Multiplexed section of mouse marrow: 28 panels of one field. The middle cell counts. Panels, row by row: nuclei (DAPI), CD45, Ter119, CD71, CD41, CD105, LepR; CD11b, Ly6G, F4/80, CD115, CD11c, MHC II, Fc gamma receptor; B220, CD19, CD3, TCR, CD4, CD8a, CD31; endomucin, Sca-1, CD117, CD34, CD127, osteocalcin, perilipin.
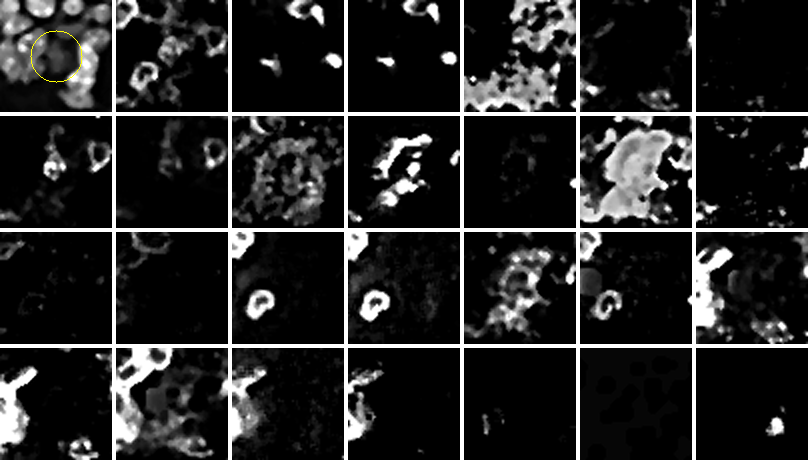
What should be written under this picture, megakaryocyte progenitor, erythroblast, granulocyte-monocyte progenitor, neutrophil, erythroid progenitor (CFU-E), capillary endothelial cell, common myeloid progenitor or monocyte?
monocyte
